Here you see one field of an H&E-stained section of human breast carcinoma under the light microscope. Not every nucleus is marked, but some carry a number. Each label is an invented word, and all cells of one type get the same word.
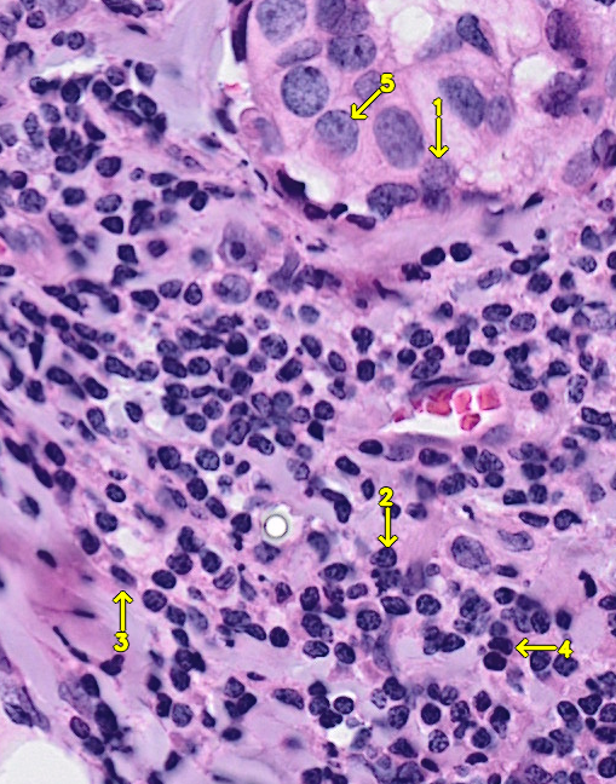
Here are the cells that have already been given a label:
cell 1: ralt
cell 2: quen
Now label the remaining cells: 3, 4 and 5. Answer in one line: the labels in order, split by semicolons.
quen; quen; ralt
